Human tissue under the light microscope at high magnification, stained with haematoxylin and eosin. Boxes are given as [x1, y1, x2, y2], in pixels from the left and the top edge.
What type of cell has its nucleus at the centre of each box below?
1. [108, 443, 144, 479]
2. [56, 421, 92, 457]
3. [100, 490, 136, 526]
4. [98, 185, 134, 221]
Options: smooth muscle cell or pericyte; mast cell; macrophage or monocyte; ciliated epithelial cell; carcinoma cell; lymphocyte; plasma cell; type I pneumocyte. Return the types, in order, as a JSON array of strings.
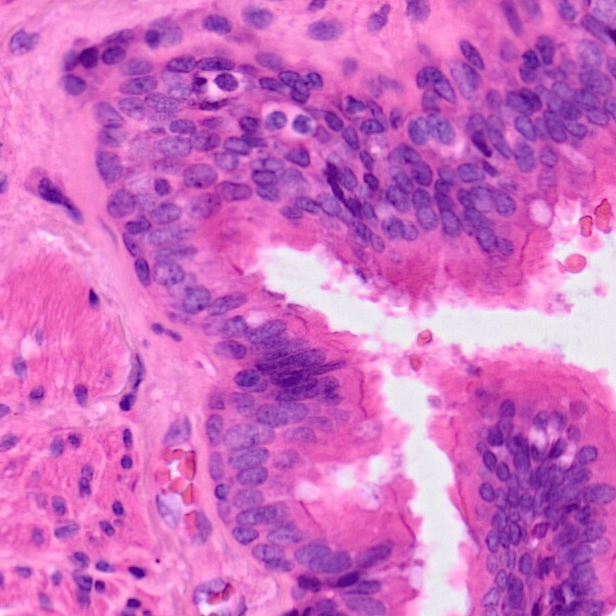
["smooth muscle cell or pericyte", "smooth muscle cell or pericyte", "smooth muscle cell or pericyte", "ciliated epithelial cell"]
